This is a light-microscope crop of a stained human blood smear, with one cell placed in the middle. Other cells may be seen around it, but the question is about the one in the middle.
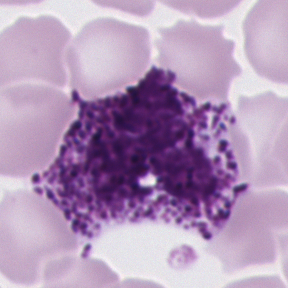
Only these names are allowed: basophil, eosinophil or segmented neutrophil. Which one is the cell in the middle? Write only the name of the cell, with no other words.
basophil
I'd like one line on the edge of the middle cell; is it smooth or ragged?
A smooth outline is absent here, replaced by ragged stretches or projections.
